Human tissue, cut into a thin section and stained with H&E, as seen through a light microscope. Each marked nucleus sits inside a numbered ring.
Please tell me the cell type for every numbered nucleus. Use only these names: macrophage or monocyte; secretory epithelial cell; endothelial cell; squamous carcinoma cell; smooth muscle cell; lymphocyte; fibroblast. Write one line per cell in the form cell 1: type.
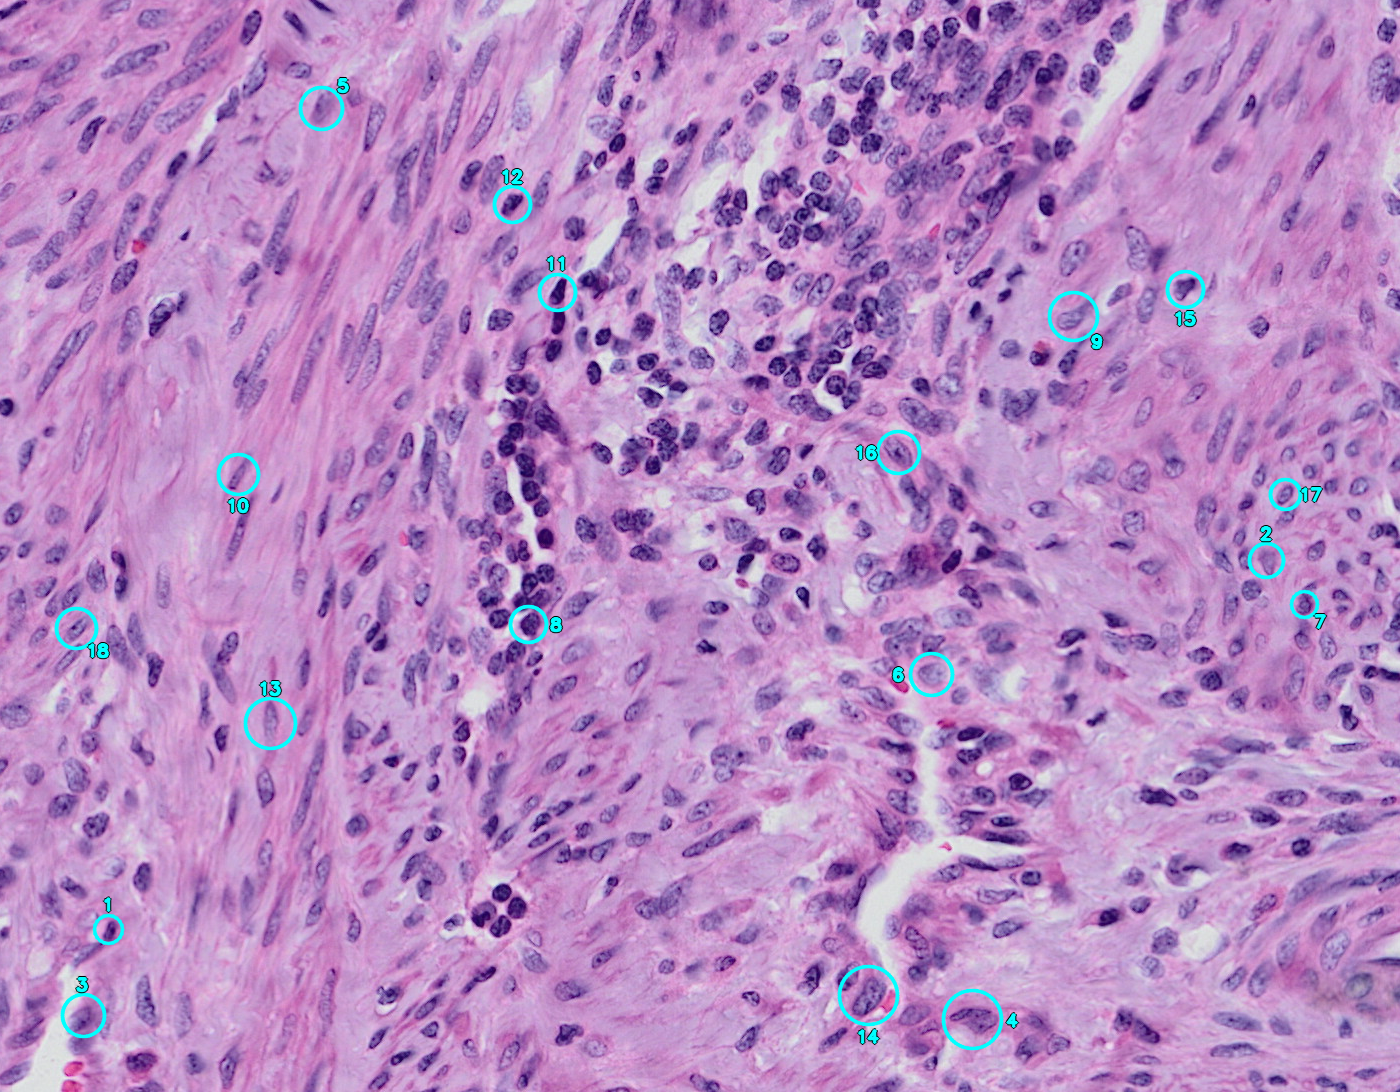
cell 1: endothelial cell
cell 2: smooth muscle cell
cell 3: endothelial cell
cell 4: endothelial cell
cell 5: smooth muscle cell
cell 6: endothelial cell
cell 7: smooth muscle cell
cell 8: lymphocyte
cell 9: smooth muscle cell
cell 10: smooth muscle cell
cell 11: lymphocyte
cell 12: lymphocyte
cell 13: smooth muscle cell
cell 14: endothelial cell
cell 15: lymphocyte
cell 16: endothelial cell
cell 17: smooth muscle cell
cell 18: smooth muscle cell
